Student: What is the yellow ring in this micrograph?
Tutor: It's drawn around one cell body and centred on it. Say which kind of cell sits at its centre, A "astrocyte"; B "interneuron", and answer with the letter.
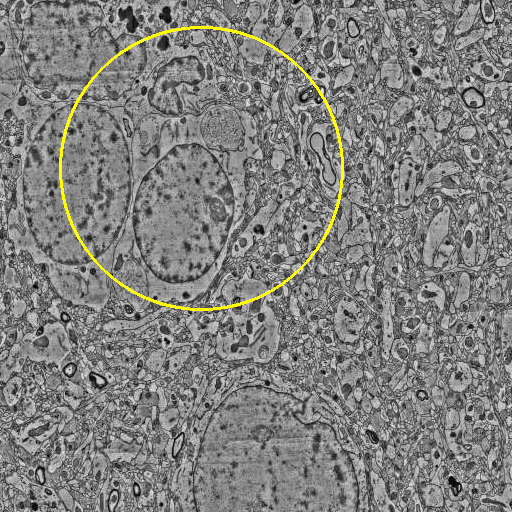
A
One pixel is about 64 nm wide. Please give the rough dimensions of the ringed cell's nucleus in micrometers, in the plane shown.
The nucleus of the ringed cell is approximately 9 by 6 micrometres in this plane.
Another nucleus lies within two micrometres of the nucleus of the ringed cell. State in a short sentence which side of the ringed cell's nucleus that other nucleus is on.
The other nucleus appears to the left of it.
